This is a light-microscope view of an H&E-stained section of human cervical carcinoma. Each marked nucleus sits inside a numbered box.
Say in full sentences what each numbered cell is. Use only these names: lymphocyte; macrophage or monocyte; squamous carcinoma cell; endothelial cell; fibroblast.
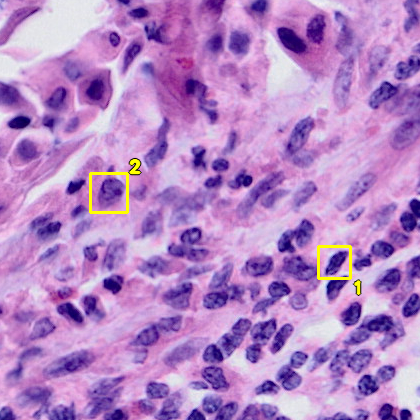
Cell 1 is a lymphocyte and cell 2 is a macrophage or monocyte.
